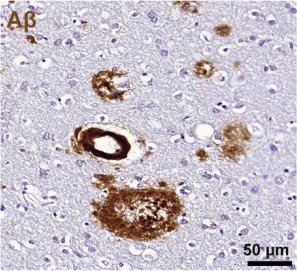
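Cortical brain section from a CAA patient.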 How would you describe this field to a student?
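This is cerebral cortex with a small vessel in the middle whose wall is thickly stained dark brown in a complete ring around an empty lumen. Around it, in the tissue between scattered blue nuclei, lie several fluffy, irregular brown deposits of varying size, the largest below the vessel.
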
